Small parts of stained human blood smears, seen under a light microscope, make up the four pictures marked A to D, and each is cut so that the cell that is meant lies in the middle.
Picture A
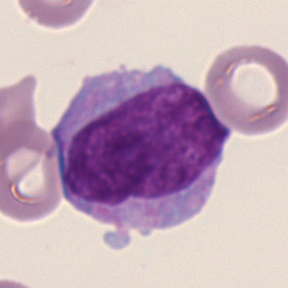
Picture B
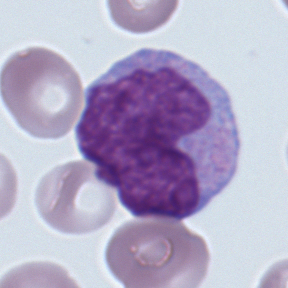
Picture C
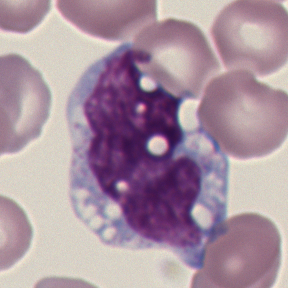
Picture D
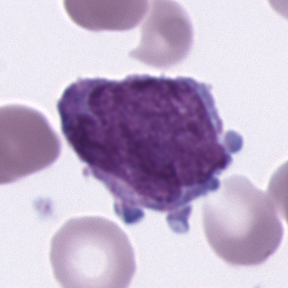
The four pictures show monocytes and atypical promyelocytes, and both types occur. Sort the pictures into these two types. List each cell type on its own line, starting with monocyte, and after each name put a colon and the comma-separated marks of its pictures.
monocyte: C
atypical promyelocyte: A, B, D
